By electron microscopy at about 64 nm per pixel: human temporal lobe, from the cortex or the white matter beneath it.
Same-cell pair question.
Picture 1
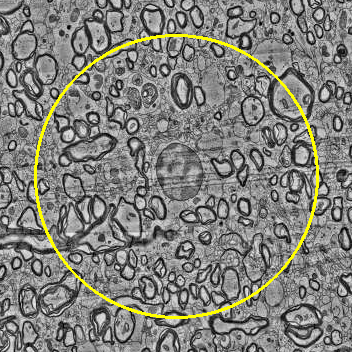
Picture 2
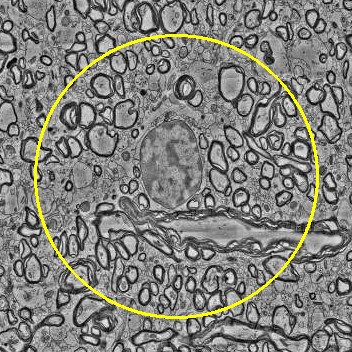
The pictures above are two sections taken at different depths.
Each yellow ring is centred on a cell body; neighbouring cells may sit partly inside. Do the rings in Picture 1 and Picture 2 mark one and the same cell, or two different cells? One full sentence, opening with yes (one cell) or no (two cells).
Yes, one cell accounts for both of the yellow rings.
